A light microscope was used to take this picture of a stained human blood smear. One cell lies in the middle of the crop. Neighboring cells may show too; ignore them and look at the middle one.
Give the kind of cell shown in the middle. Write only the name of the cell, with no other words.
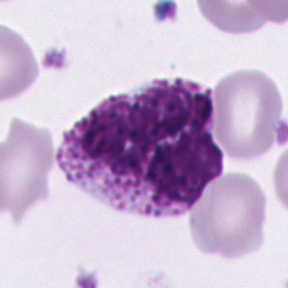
basophil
